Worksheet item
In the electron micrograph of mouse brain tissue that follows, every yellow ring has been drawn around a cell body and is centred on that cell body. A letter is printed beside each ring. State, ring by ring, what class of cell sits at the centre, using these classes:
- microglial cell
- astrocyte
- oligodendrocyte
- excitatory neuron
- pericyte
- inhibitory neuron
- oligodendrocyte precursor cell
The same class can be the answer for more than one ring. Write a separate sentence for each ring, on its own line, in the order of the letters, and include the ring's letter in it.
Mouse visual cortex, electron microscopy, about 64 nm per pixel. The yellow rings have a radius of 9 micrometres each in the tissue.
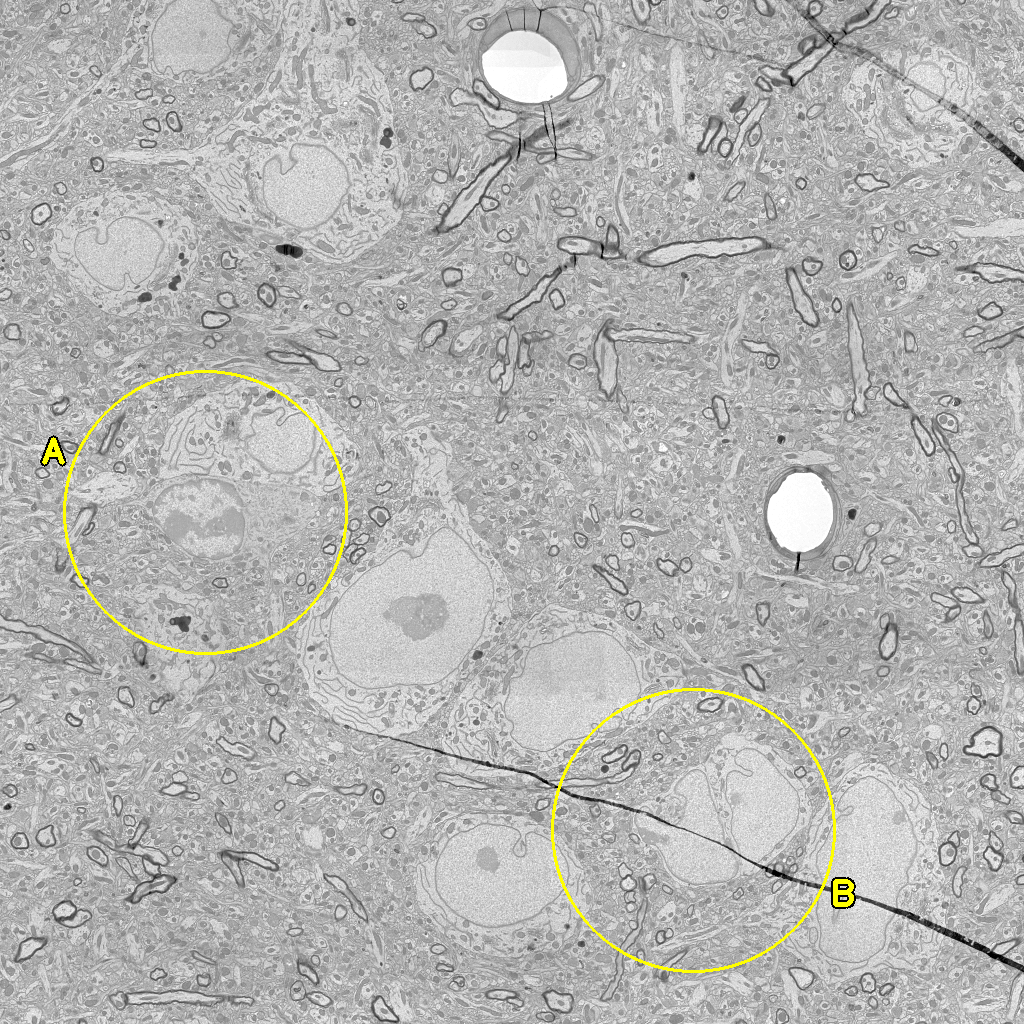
At the centre of ring A sits an oligodendrocyte.
At the centre of ring B sits an oligodendrocyte precursor cell.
